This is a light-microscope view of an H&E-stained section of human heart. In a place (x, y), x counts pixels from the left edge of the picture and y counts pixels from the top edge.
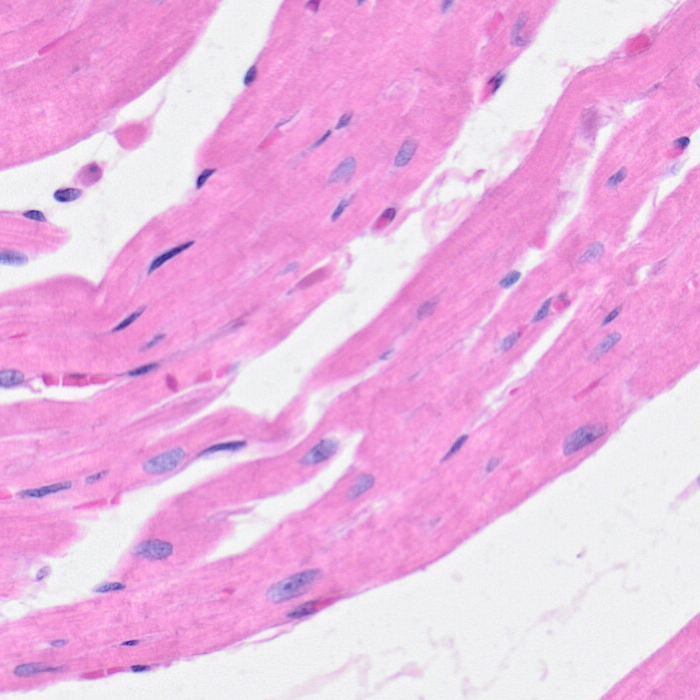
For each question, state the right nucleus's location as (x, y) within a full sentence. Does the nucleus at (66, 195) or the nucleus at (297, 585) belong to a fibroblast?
Which one belongs to a fibroblast? The nucleus at (66, 195) does.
